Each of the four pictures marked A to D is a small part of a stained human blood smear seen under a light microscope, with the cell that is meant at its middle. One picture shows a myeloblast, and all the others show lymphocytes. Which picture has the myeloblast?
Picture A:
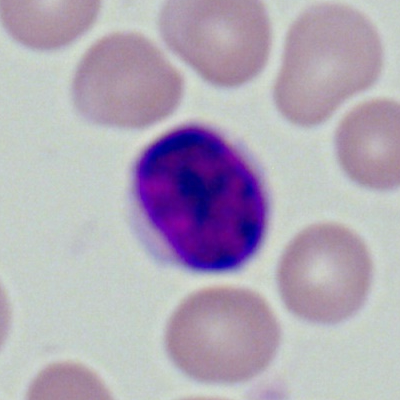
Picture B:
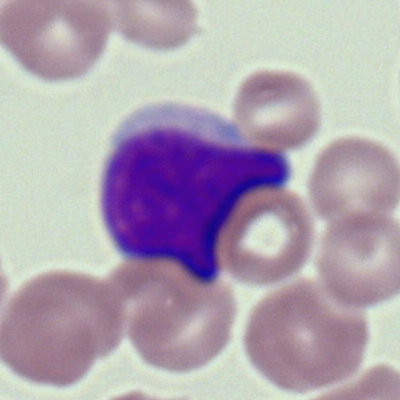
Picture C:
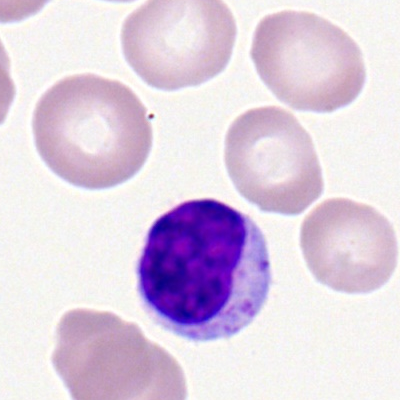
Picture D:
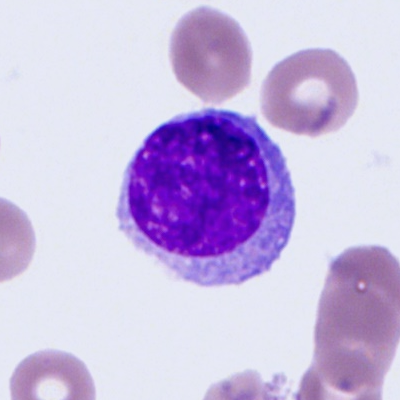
B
